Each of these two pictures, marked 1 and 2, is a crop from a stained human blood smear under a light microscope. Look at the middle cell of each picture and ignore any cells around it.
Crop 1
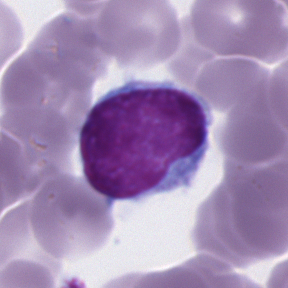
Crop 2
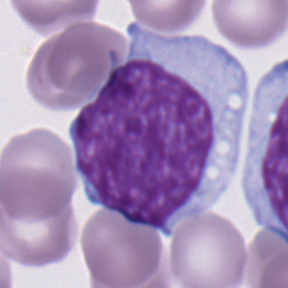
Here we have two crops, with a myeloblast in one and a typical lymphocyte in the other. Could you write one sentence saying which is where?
Crop 1 is a typical lymphocyte, with crop 2 being a myeloblast.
